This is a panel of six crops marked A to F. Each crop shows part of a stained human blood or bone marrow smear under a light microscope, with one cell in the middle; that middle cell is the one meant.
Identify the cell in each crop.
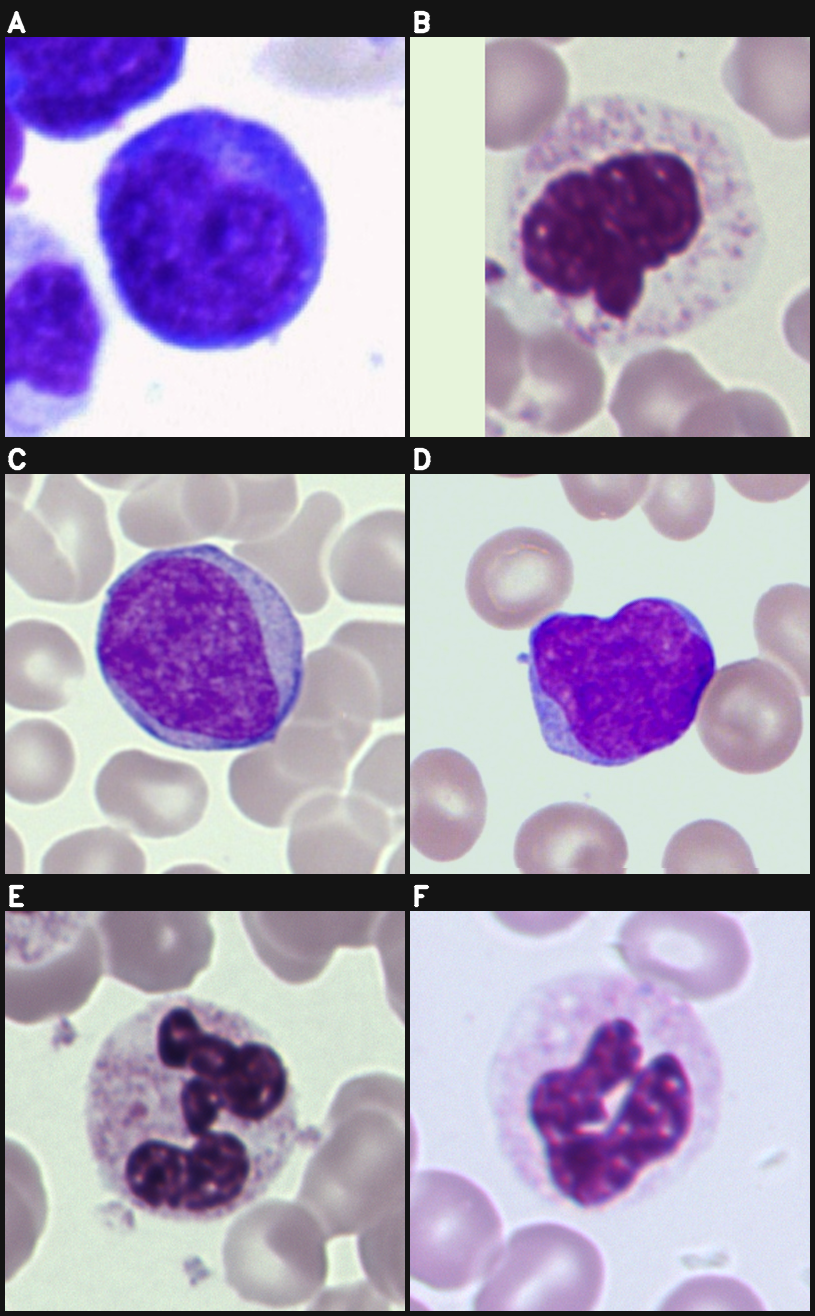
A: blast
B: segmented neutrophil
C: blast
D: blast
E: segmented neutrophil
F: segmented neutrophil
